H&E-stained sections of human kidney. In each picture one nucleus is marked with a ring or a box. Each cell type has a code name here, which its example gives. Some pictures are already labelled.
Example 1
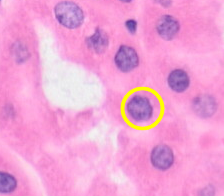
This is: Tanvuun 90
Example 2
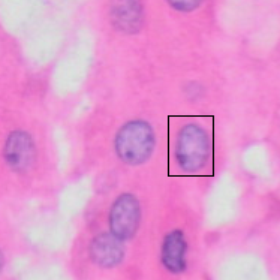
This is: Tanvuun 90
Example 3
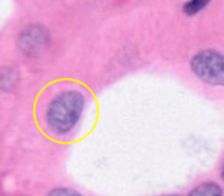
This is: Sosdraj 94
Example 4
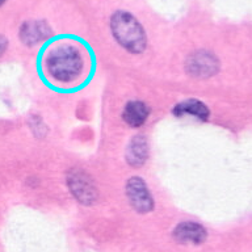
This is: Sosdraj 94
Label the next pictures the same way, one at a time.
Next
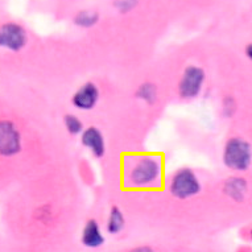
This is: Sosdraj 94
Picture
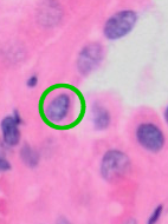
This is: Sosdraj 94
